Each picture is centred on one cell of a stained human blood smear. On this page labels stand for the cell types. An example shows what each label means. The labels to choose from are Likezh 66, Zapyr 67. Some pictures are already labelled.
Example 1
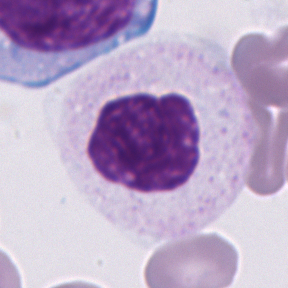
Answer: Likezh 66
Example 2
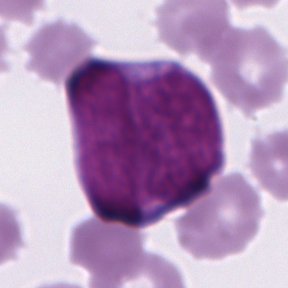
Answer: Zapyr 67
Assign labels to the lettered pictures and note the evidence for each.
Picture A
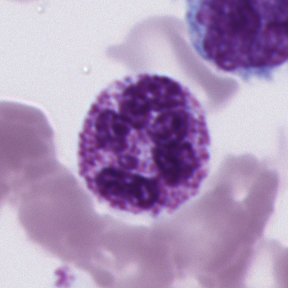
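Likezh 66. Evidence: The nucleus is divided into several separate lobes arranged around the centre of the cell.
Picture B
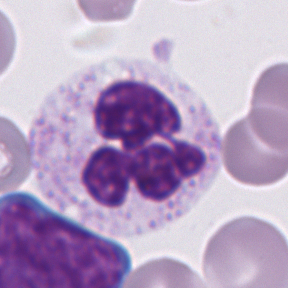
Likezh 66. Evidence: The cytoplasm is plentiful and pale pinkish-lilac.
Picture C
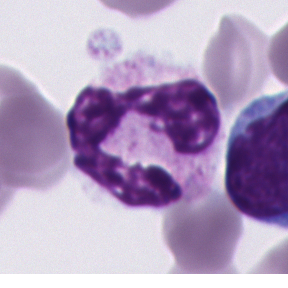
Likezh 66. Evidence: The nucleus curves around a central patch of pale cytoplasm, almost closing into a ring.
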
